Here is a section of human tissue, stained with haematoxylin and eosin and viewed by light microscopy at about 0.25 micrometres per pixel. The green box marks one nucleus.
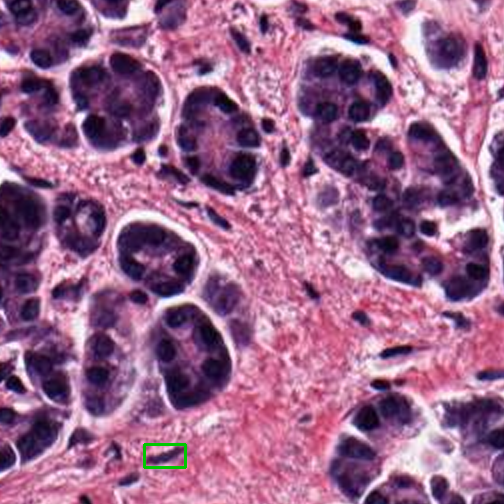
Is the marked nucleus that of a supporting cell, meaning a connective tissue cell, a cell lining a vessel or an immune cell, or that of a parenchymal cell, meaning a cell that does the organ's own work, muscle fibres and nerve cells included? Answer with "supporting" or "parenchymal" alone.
supporting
